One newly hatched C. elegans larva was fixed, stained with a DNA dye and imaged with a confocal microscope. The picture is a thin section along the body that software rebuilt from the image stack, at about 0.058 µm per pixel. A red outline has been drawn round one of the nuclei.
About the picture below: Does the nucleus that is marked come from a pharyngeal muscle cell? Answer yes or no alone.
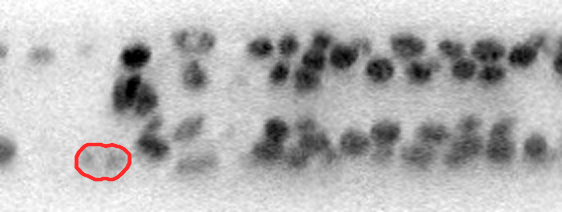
no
